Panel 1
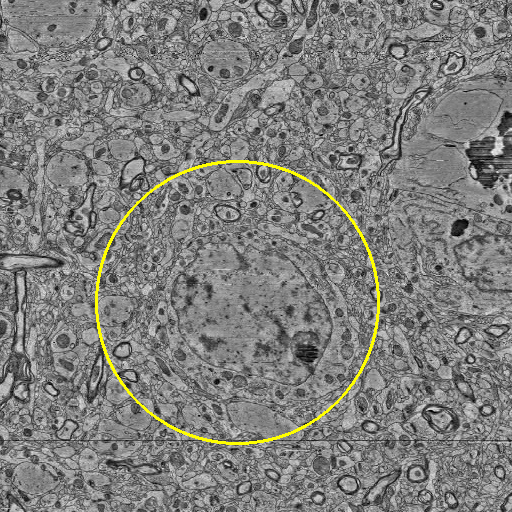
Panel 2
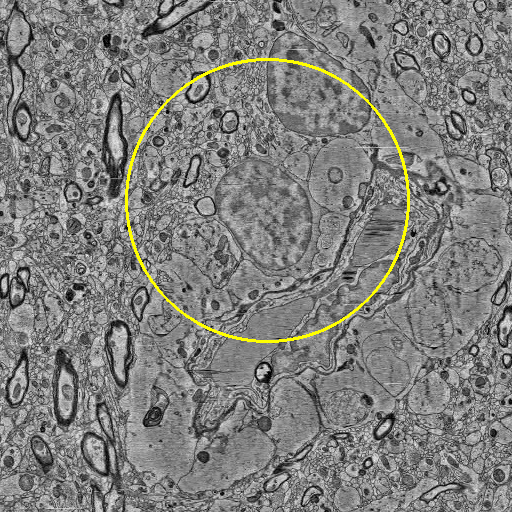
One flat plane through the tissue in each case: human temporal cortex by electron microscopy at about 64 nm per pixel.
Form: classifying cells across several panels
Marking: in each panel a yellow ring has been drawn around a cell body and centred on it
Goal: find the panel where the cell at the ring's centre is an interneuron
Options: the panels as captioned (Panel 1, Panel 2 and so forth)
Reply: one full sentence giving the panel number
Panel 1 shows the wanted cell at the centre of its ring.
